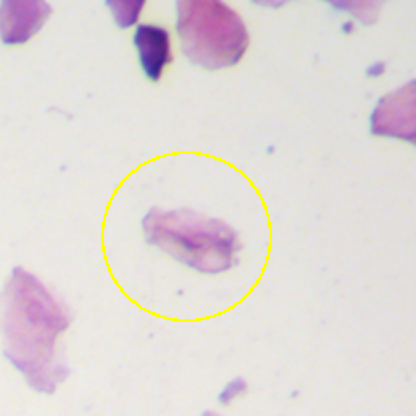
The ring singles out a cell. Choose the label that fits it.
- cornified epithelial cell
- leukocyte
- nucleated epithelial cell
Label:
cornified epithelial cell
